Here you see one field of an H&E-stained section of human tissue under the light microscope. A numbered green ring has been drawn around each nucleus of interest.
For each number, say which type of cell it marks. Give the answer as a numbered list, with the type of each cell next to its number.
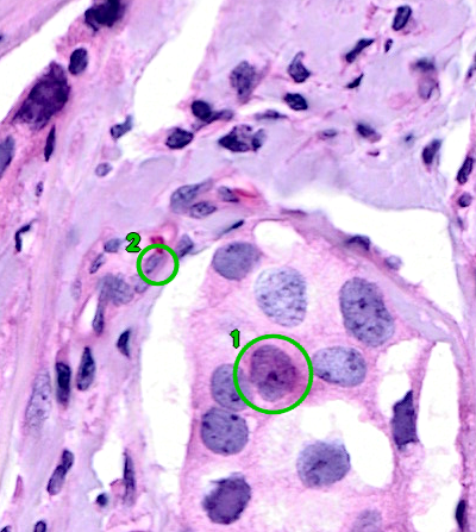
1. carcinoma cell
2. endothelial cell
